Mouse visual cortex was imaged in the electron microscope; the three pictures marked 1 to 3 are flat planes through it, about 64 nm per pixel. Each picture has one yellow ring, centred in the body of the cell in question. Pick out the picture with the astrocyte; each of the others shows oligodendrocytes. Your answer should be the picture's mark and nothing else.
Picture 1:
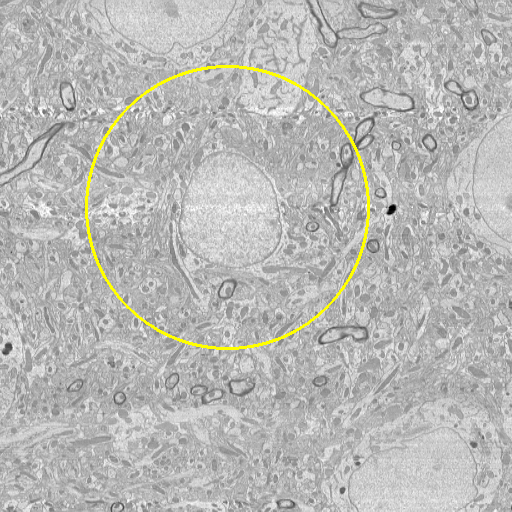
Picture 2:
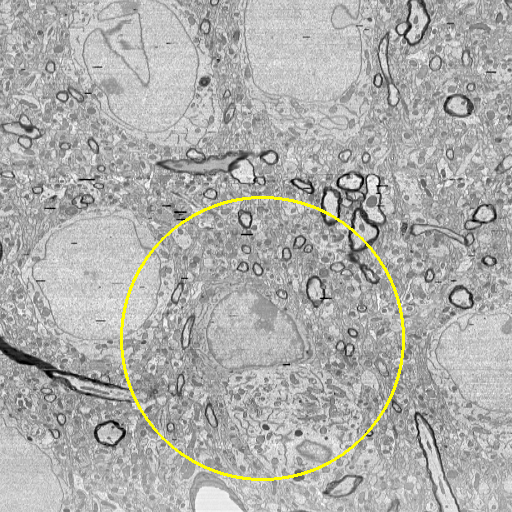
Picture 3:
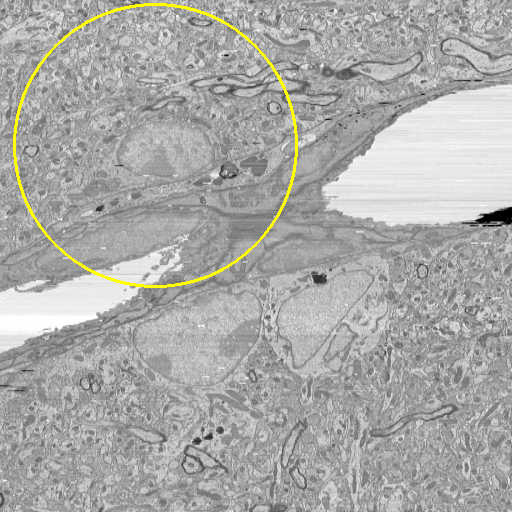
1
